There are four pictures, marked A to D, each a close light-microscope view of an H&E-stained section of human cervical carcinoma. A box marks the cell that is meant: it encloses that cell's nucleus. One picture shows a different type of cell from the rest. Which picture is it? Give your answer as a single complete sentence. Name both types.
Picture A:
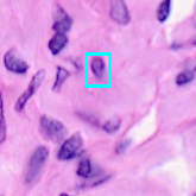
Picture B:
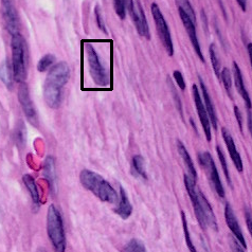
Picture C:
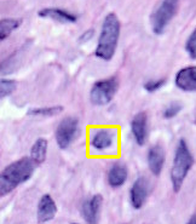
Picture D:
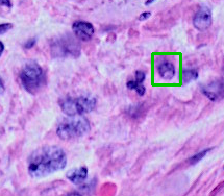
Picture D is the odd one out: it shows a “macrophage or monocyte”, while the others show fibroblasts.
